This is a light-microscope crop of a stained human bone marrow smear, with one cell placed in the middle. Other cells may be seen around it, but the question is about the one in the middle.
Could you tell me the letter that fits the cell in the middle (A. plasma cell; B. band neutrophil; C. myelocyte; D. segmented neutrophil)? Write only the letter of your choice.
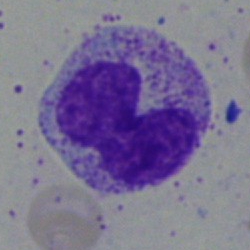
B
